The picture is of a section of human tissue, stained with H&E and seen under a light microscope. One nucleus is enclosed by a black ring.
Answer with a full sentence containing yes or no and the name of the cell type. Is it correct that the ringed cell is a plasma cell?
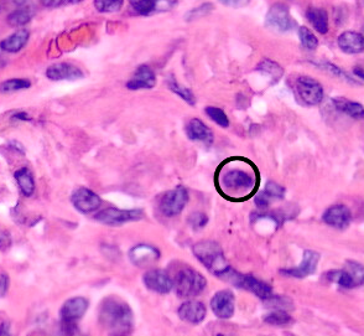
Yes, it holds that the ringed cell is a plasma cell.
